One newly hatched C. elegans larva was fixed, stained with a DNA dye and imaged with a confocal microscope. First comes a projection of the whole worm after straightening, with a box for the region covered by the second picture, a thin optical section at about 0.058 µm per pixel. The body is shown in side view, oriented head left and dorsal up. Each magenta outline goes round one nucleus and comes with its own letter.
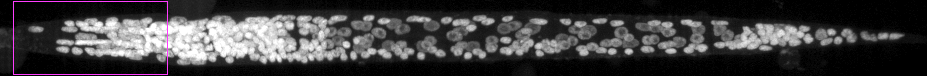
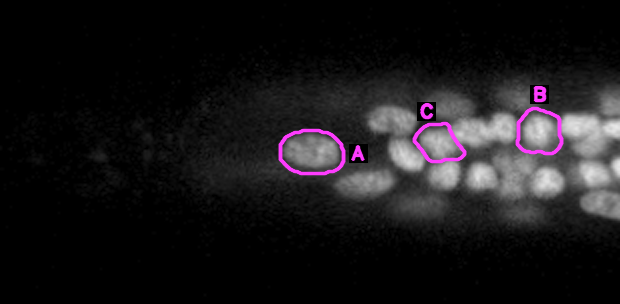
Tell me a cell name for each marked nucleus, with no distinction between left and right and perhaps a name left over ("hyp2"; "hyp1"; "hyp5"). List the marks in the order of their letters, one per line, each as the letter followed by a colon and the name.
A: hyp5
B: hyp1
C: hyp2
